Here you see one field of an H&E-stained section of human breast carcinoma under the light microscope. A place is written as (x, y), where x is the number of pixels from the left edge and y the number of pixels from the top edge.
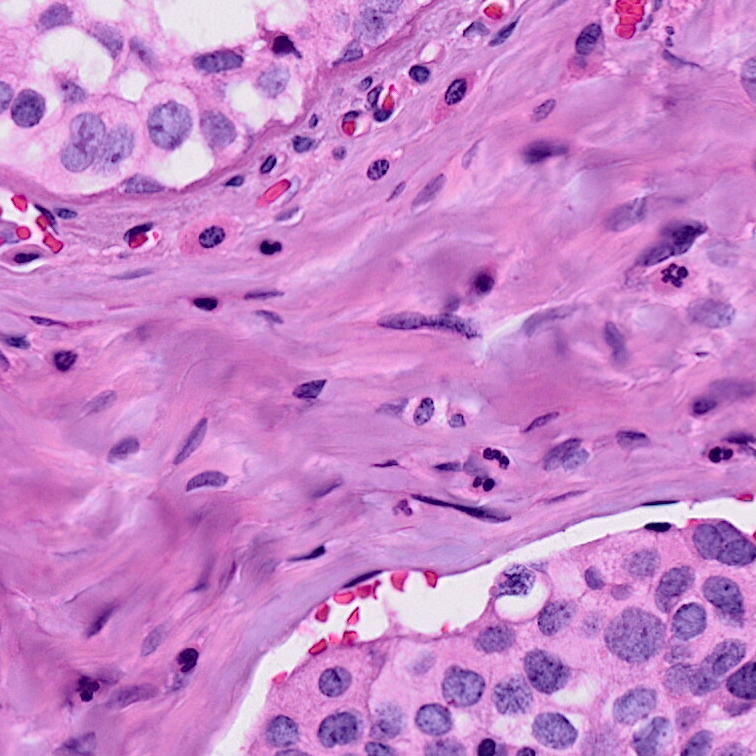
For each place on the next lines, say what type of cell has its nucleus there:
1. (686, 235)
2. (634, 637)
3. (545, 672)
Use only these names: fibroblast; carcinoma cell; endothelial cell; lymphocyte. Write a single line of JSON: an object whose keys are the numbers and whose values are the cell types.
{"1": "fibroblast", "2": "carcinoma cell", "3": "carcinoma cell"}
